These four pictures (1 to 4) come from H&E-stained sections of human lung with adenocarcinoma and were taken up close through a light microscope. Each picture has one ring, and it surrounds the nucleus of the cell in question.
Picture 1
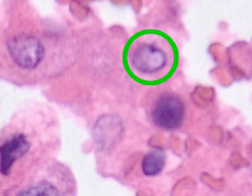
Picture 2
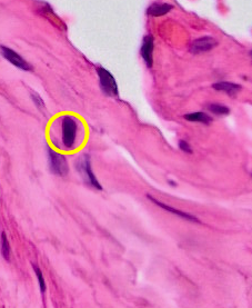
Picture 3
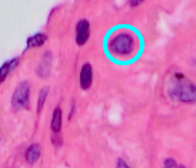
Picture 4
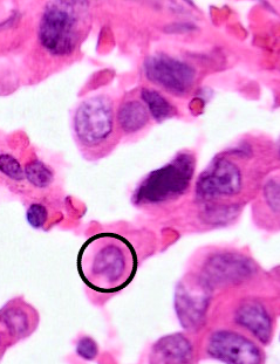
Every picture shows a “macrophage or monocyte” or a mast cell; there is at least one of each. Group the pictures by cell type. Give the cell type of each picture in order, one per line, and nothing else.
macrophage or monocyte
mast cell
mast cell
macrophage or monocyte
